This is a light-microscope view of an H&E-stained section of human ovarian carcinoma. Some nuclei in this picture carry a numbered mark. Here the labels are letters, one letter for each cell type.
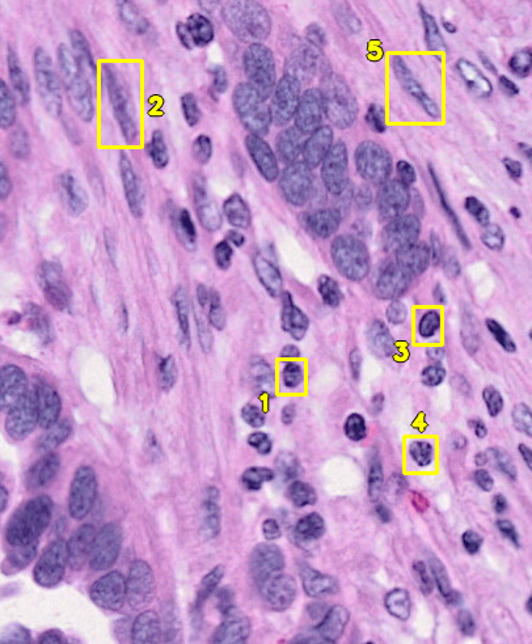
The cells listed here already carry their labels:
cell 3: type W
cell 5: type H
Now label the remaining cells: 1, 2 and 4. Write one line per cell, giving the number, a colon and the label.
1: type W
2: type H
4: type W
